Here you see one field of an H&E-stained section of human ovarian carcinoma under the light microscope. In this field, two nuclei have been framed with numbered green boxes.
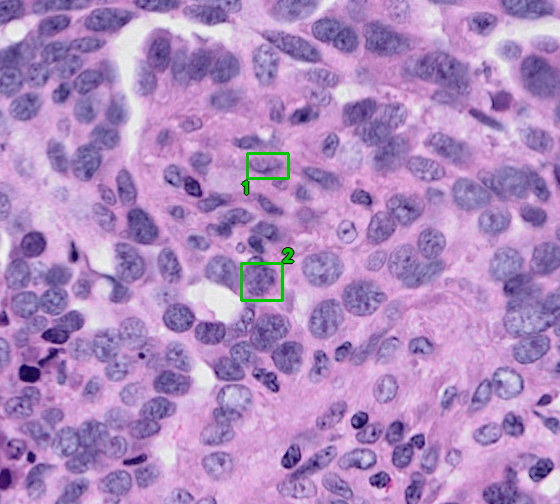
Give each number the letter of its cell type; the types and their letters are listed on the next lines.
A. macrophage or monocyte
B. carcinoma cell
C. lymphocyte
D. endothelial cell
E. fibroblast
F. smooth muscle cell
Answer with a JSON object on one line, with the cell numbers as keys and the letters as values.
{"1": "E", "2": "B"}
